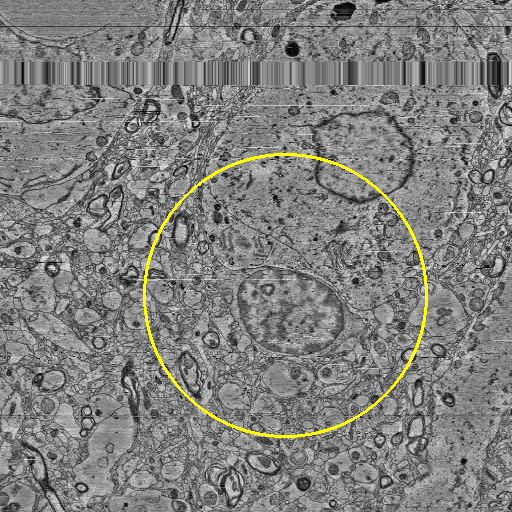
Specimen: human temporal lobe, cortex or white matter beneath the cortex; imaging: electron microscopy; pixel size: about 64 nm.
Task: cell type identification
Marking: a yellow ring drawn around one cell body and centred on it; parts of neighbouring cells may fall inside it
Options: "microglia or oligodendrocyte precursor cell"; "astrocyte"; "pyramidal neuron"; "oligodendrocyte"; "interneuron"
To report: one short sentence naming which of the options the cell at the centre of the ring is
The cell at the centre of the ring is an oligodendrocyte.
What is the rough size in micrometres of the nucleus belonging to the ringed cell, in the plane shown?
In this plane, the nucleus of the cell at the centre of the ring measures about 7 by 6 micrometres.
